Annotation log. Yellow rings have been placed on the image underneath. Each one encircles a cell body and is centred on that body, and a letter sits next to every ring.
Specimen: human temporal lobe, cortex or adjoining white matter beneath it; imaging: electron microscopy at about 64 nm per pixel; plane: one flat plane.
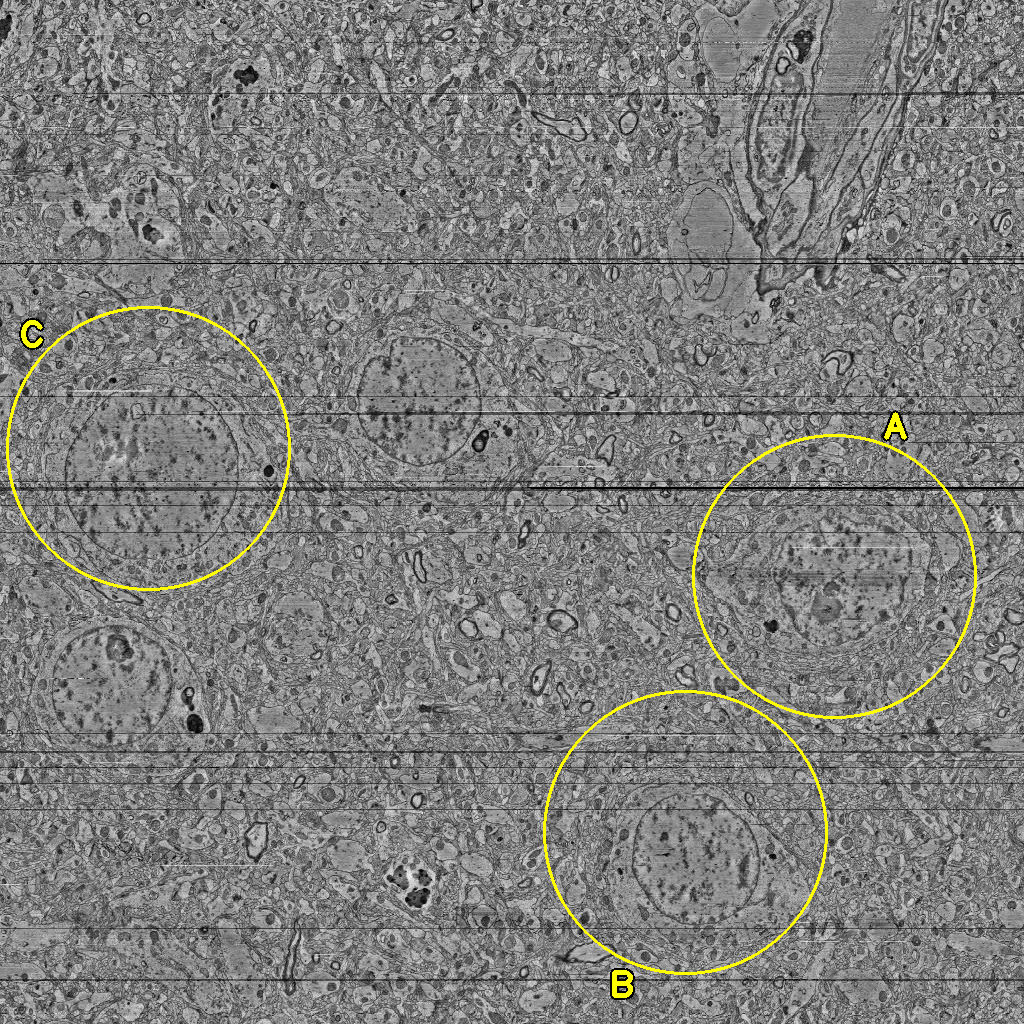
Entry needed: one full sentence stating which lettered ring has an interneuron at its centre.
The cell asked for sits at the centre of Ring A in the picture.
